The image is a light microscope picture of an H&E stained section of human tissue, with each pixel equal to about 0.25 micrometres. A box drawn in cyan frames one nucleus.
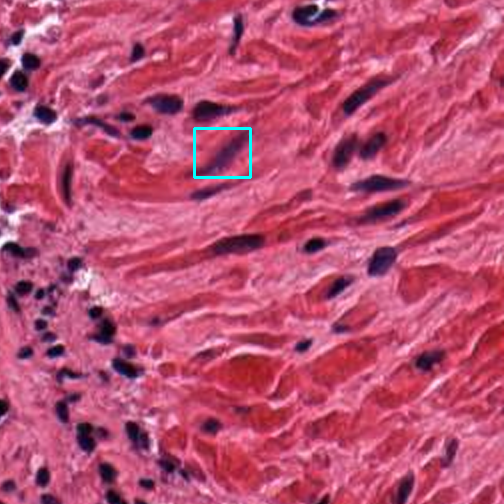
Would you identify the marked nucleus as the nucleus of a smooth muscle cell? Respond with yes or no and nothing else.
yes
